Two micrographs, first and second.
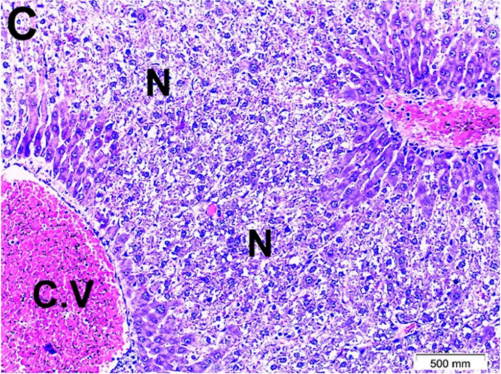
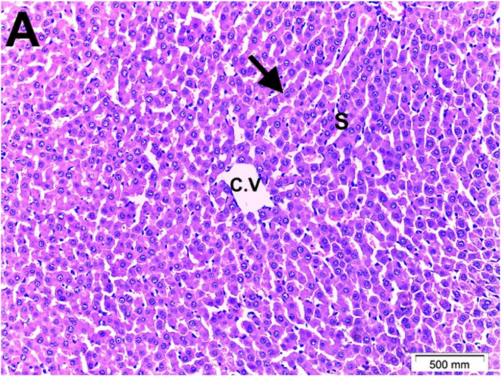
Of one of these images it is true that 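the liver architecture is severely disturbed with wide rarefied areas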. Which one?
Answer: The first image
